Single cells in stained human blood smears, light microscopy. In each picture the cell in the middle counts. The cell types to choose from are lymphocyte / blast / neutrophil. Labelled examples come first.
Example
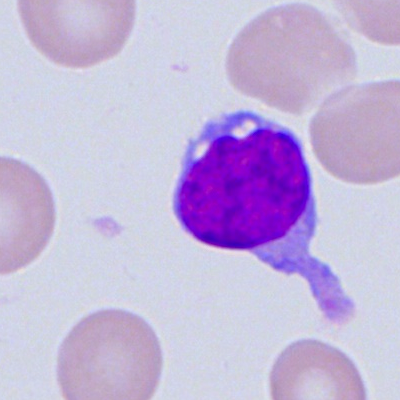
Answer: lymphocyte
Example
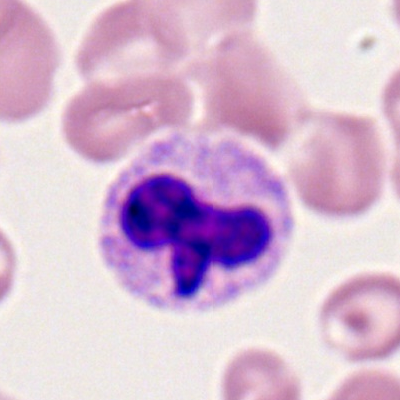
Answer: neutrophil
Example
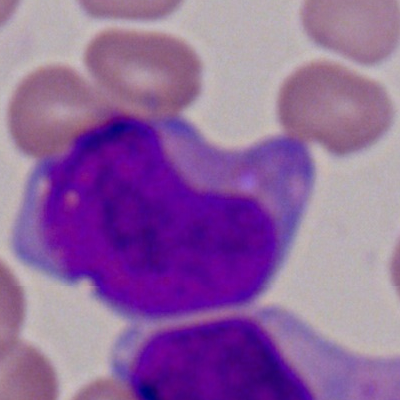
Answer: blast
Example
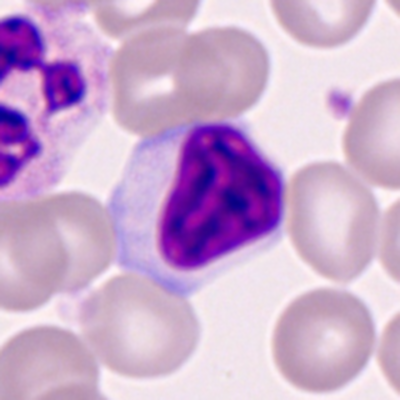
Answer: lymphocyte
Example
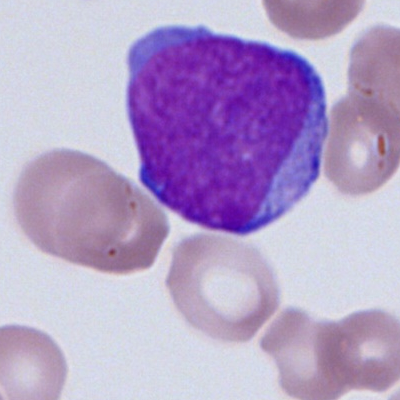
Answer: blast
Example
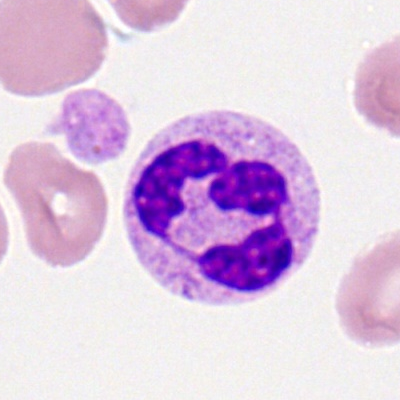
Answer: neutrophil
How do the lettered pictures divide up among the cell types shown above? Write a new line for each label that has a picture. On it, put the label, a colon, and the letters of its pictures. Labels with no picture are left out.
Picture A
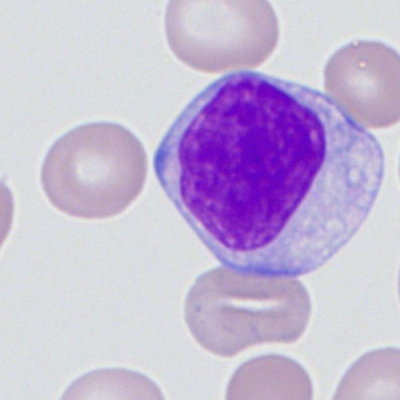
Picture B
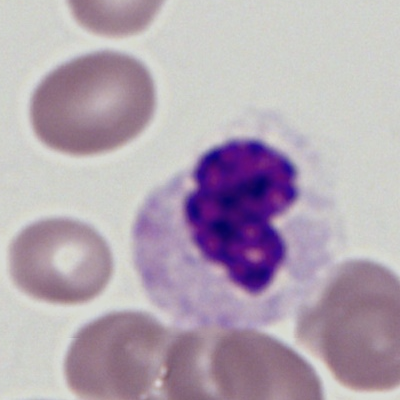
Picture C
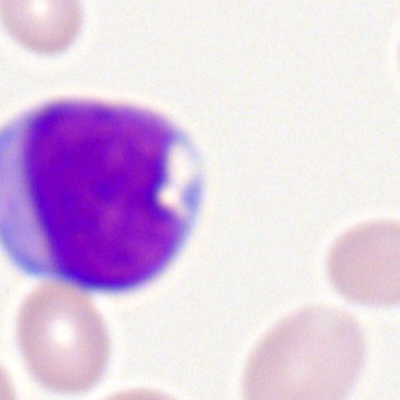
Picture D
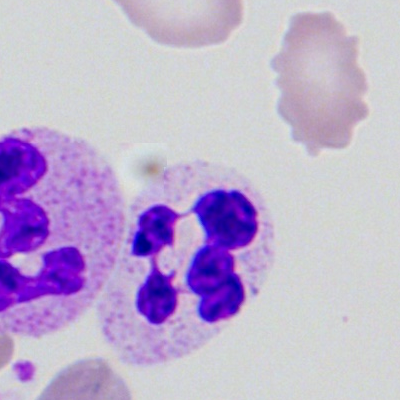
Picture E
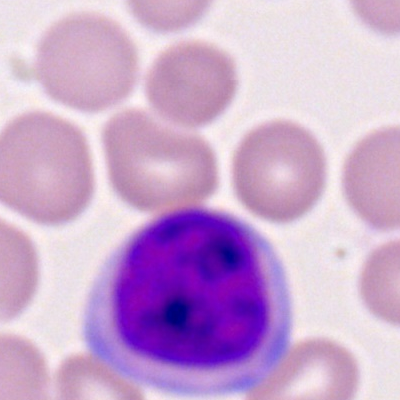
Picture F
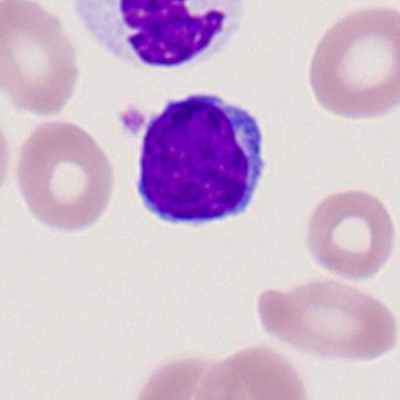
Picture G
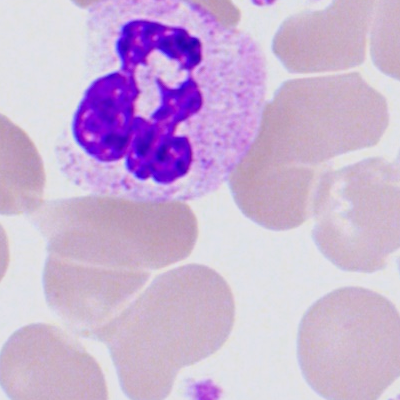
lymphocyte: A, E, F
blast: C
neutrophil: B, D, G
